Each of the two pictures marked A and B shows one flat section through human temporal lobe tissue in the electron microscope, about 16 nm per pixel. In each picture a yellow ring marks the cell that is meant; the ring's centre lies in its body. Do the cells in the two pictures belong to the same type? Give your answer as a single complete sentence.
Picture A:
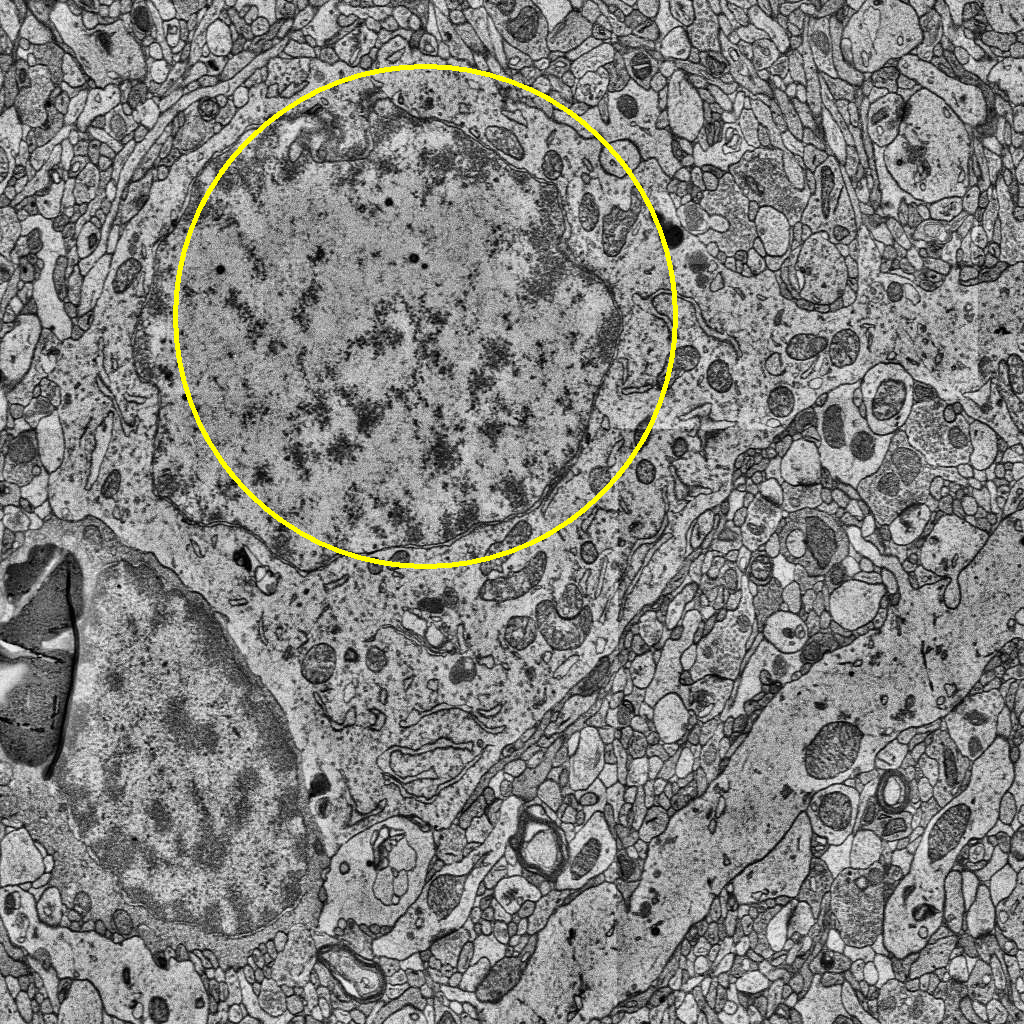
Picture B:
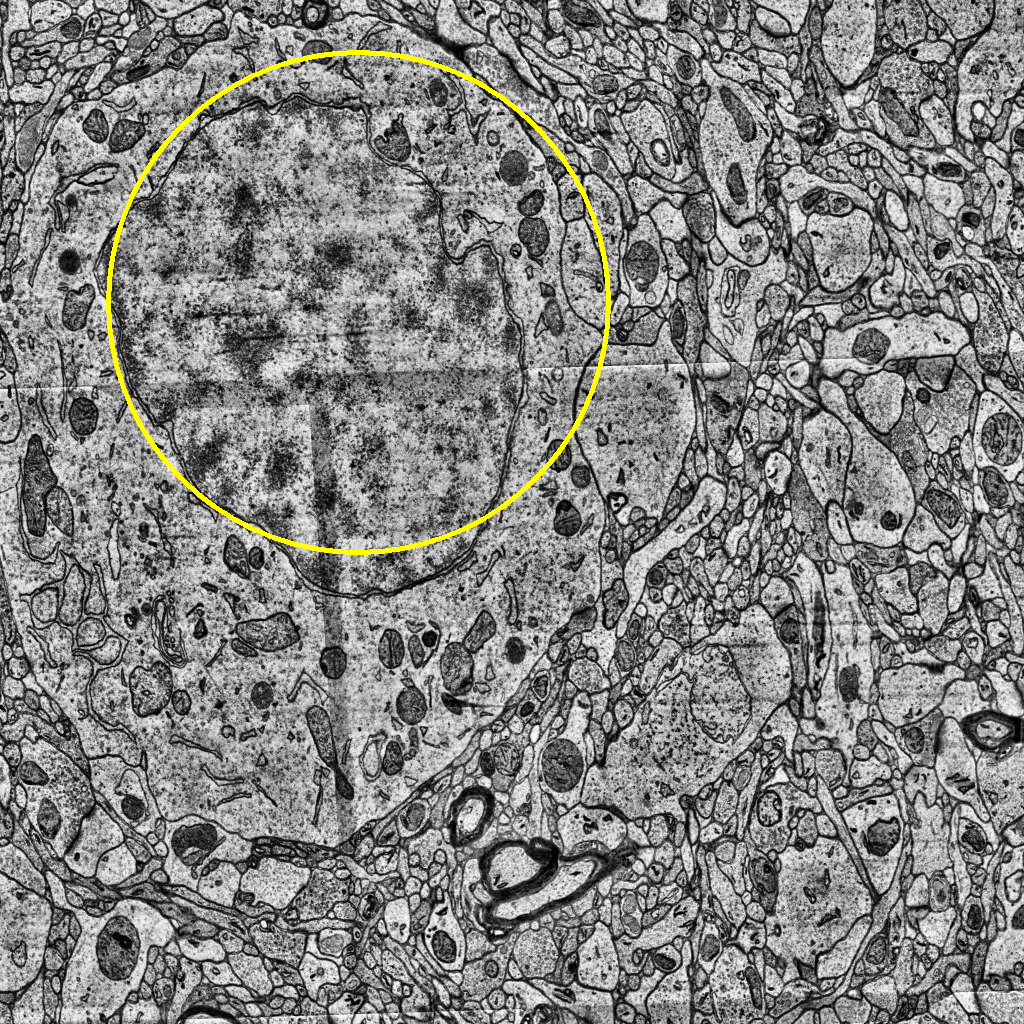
Yes, both cells are interneurons.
